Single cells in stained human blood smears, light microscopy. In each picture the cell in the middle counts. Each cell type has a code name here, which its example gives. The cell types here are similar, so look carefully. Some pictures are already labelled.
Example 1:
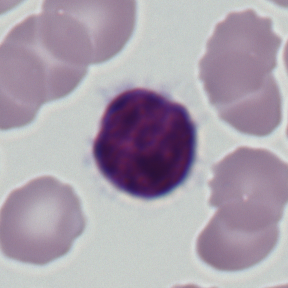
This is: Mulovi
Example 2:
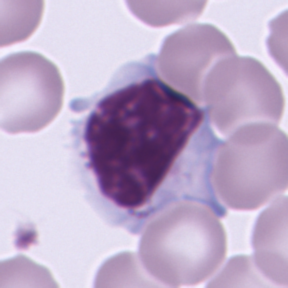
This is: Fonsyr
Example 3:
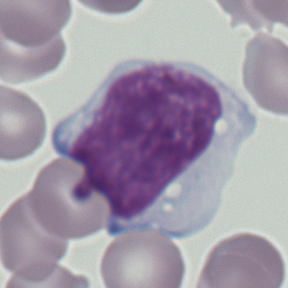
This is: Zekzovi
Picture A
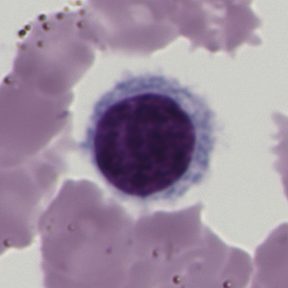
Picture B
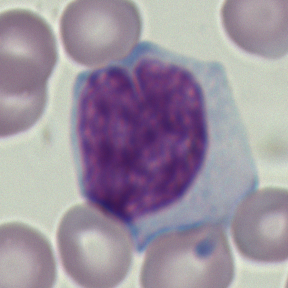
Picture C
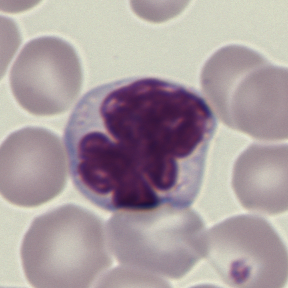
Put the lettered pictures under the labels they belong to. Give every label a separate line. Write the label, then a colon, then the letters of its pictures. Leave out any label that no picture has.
Mulovi: A
Fonsyr: C
Zekzovi: B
